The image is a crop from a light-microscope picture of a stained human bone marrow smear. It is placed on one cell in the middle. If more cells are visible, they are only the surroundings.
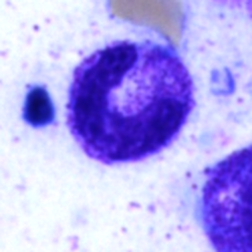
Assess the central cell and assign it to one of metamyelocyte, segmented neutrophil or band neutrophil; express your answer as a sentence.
Seen at the centre of the crop is a band neutrophil.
